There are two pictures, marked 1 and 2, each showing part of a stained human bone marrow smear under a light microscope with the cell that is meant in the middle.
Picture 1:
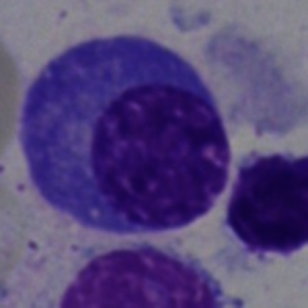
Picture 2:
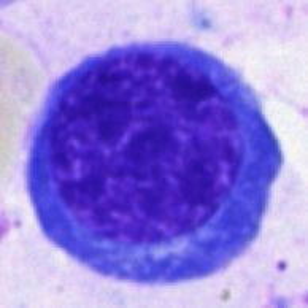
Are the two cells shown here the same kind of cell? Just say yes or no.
no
